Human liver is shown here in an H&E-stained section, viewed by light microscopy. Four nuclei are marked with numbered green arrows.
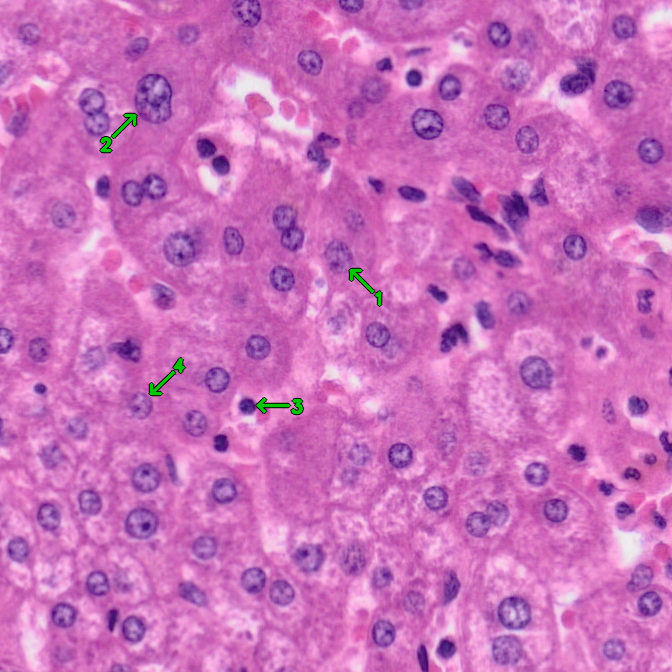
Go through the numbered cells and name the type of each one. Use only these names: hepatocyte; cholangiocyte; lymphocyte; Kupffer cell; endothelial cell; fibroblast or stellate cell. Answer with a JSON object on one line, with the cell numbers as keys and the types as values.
{"1": "hepatocyte", "2": "hepatocyte", "3": "lymphocyte", "4": "hepatocyte"}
